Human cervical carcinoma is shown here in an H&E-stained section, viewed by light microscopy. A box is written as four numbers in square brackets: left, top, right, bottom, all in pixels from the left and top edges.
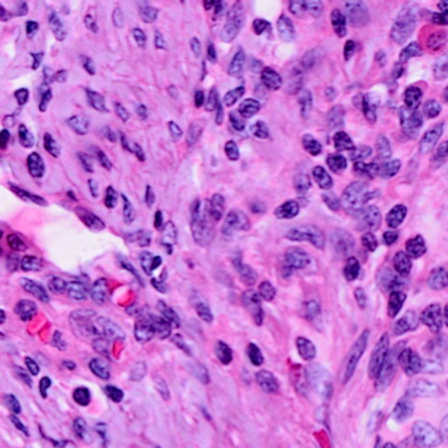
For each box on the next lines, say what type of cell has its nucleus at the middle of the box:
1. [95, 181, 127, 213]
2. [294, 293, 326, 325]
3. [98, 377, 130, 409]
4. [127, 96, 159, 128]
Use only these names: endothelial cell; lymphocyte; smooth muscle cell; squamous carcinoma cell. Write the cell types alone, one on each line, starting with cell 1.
lymphocyte
endothelial cell
lymphocyte
smooth muscle cell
